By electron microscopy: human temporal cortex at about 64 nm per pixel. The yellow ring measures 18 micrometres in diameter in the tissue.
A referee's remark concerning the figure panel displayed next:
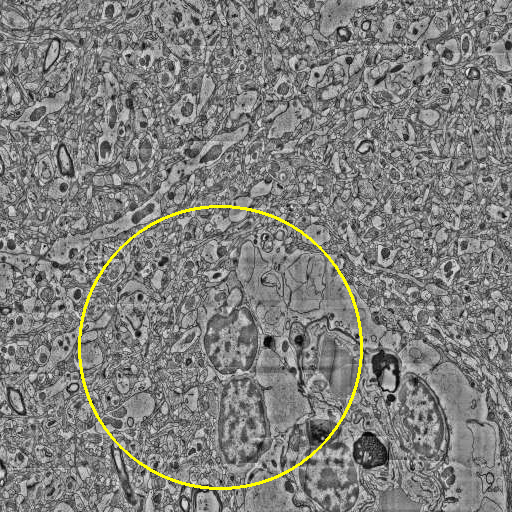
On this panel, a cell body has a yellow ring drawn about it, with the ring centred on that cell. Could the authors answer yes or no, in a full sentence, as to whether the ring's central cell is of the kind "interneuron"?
No, the cell sitting at the middle of the ring on this panel belongs to a different kind.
